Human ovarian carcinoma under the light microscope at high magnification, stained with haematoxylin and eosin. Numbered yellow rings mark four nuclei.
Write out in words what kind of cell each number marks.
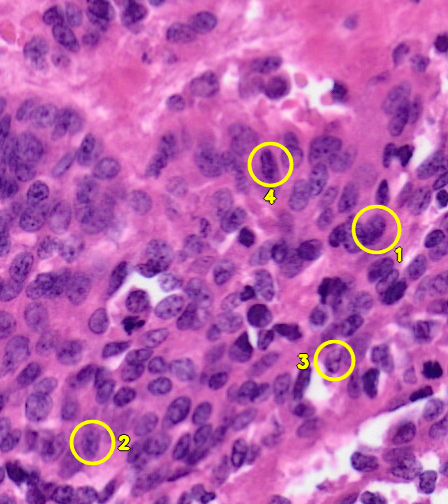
Cell 1 is a carcinoma cell, cell 2 is a carcinoma cell, cell 3 is a macrophage or monocyte and cell 4 is a carcinoma cell.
